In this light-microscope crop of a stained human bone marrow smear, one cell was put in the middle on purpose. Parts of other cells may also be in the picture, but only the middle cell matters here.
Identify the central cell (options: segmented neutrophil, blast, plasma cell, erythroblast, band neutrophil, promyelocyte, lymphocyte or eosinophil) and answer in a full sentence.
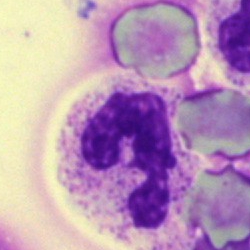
The middle of this crop is occupied by a segmented neutrophil.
